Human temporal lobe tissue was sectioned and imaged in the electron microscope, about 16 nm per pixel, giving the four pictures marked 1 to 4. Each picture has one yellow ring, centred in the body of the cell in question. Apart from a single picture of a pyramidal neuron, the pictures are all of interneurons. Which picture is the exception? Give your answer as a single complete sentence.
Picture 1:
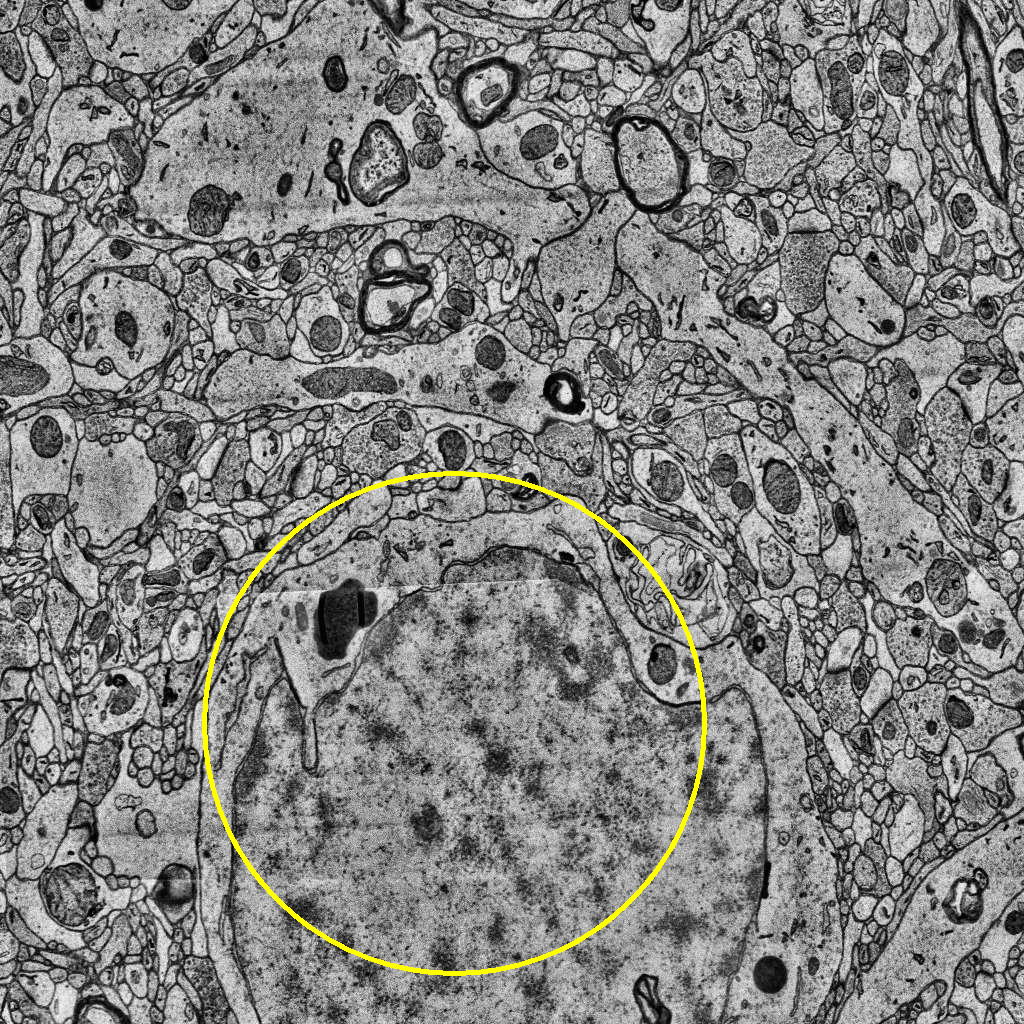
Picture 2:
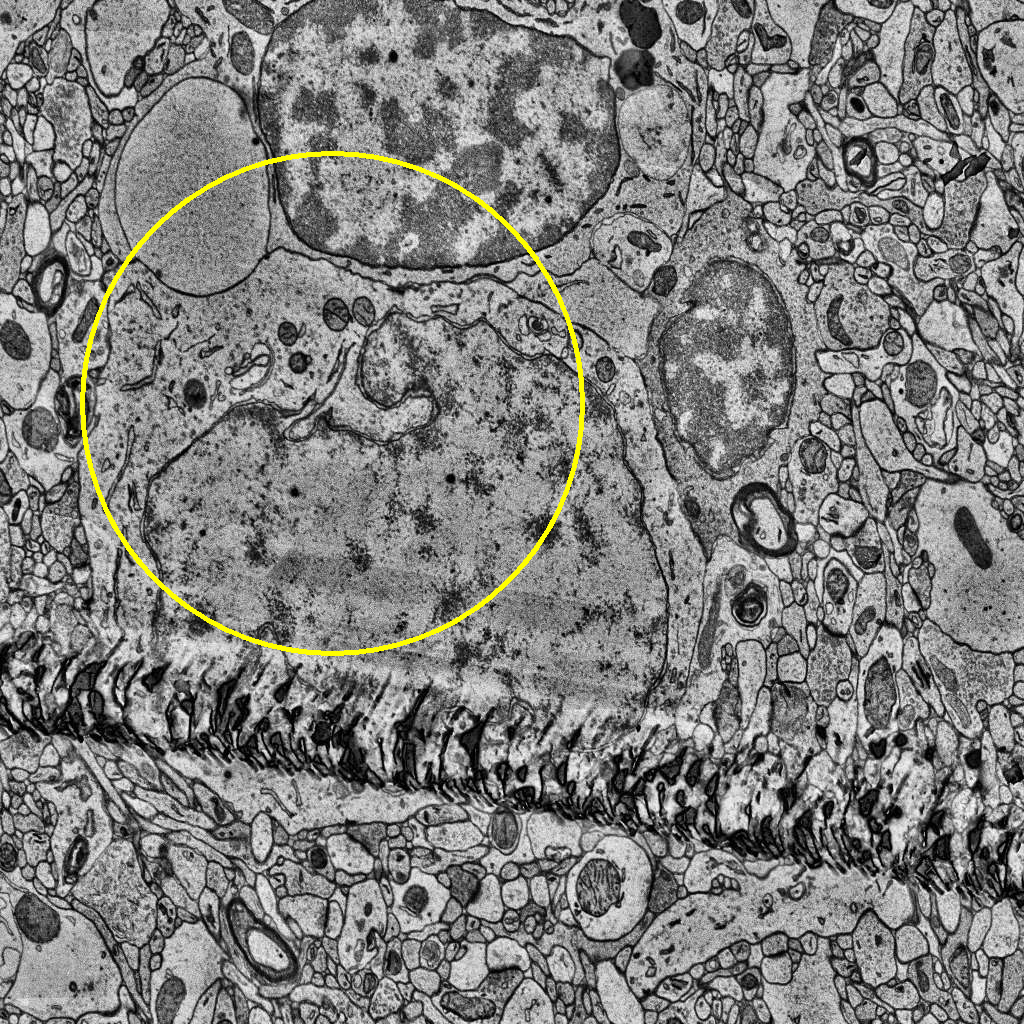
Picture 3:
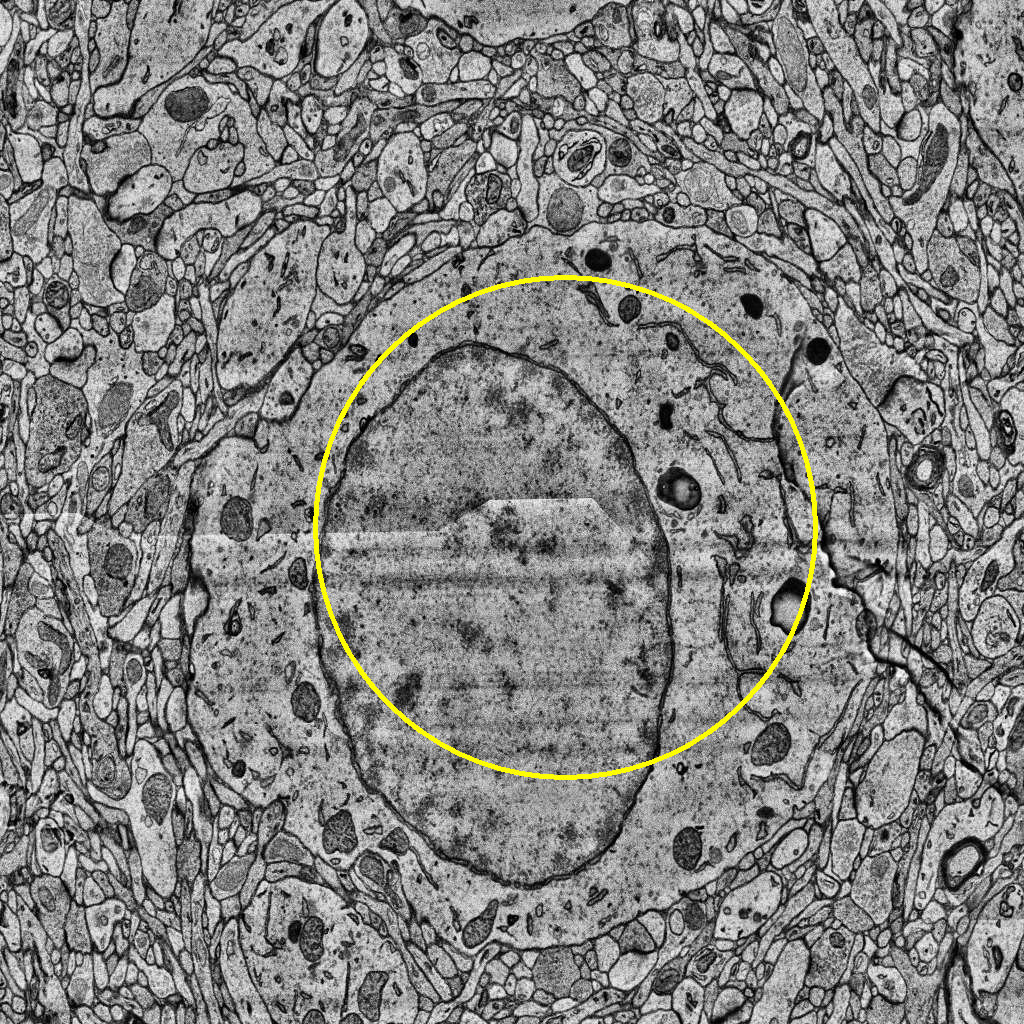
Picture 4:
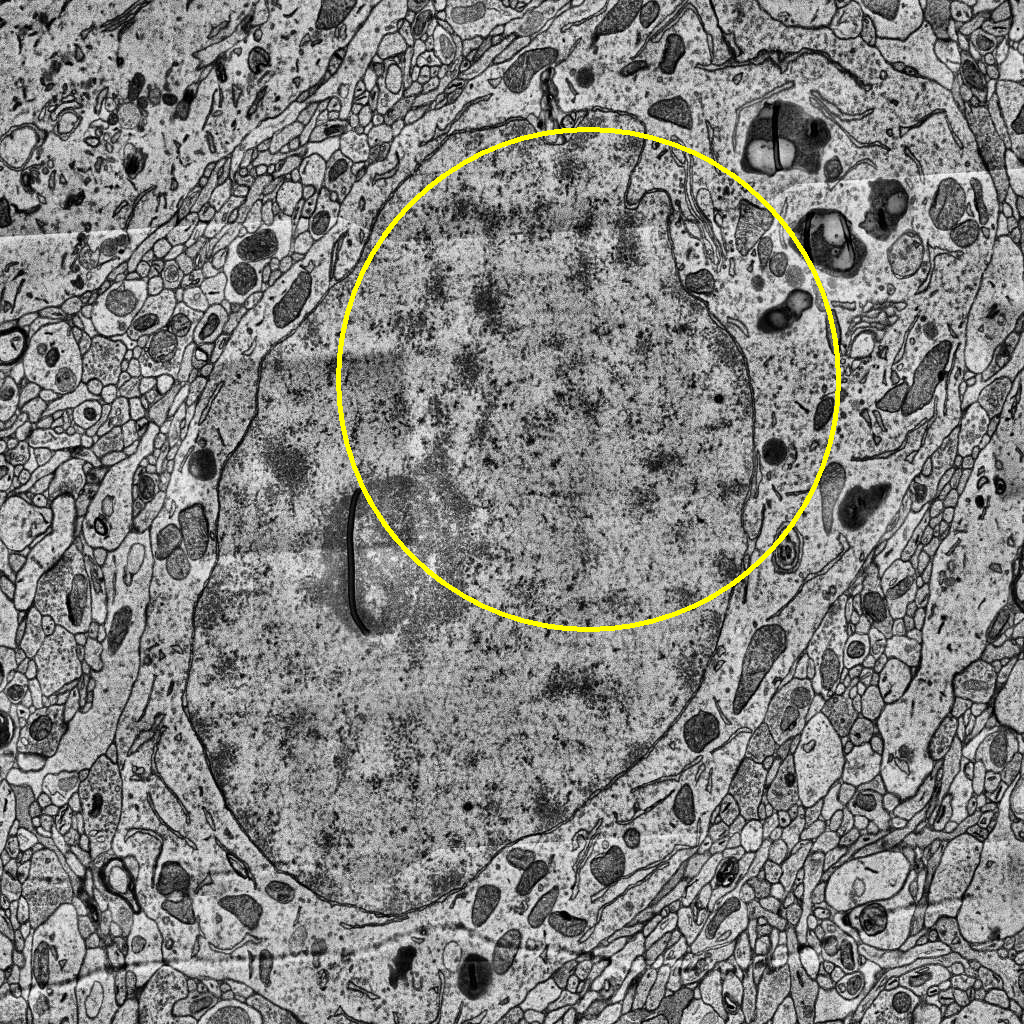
The picture with the pyramidal neuron is 3.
